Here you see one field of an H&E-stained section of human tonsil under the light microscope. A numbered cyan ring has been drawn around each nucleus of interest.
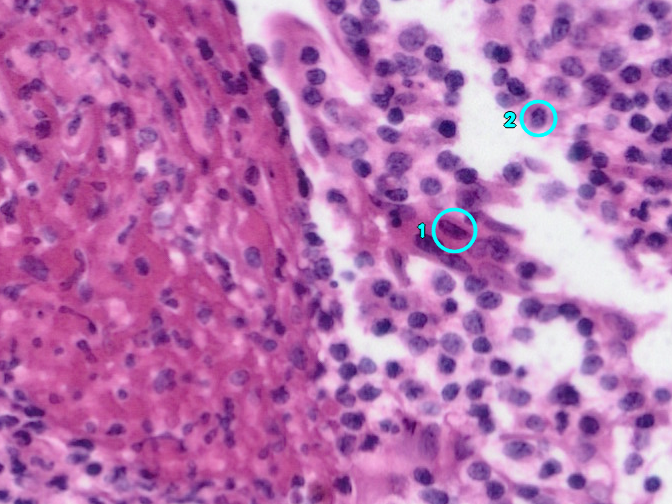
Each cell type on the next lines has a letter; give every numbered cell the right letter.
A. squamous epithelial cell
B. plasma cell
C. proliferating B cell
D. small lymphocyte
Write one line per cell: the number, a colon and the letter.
1: A
2: B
